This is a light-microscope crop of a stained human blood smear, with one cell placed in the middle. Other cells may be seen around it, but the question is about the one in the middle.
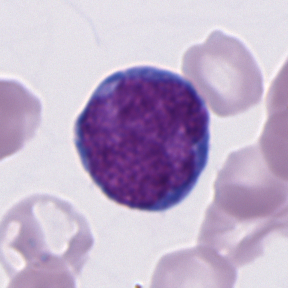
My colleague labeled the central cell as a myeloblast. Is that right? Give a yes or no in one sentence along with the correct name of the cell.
Yes, the middle cell in this crop is a myeloblast.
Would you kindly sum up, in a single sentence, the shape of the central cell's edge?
Around its whole circumference the outline stays smooth, free of projections.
